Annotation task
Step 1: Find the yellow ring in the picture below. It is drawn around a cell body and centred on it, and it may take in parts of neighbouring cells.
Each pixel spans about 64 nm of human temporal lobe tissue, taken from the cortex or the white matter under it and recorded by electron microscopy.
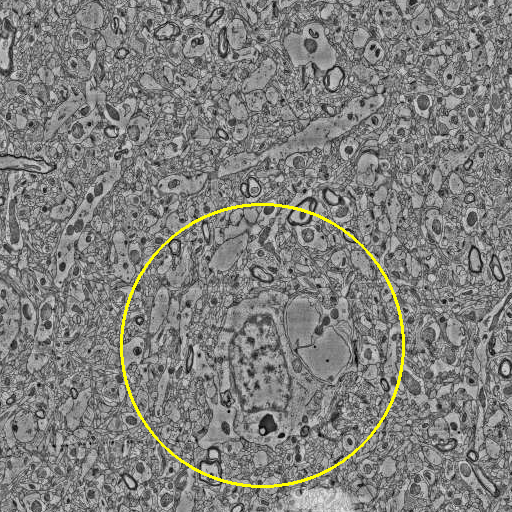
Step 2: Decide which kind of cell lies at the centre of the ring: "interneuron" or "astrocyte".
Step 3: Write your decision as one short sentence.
The kind of cell at the ring's centre is an interneuron.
